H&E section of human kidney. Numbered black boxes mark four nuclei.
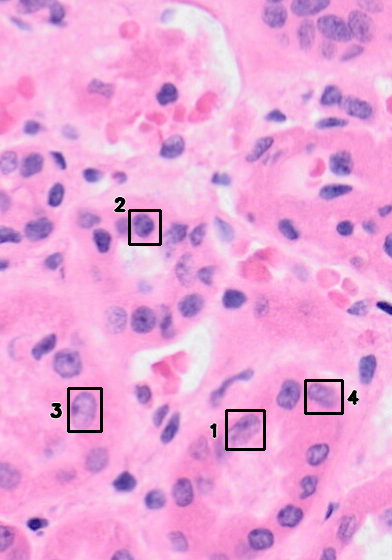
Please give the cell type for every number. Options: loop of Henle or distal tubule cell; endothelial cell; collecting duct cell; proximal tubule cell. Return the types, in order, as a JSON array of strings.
["proximal tubule cell", "collecting duct cell", "proximal tubule cell", "proximal tubule cell"]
